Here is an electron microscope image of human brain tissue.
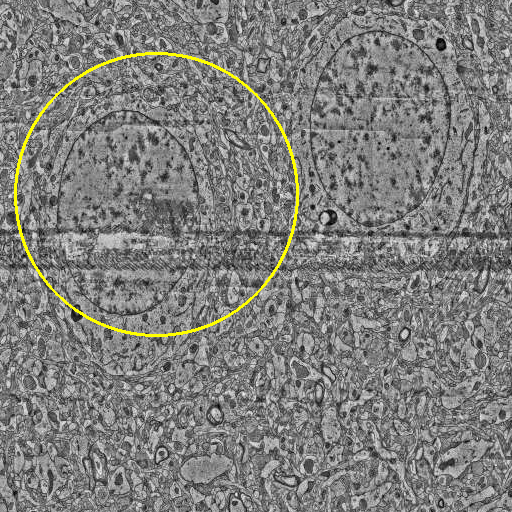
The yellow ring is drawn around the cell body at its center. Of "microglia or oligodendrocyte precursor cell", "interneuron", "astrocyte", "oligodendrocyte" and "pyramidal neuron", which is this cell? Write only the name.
pyramidal neuron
